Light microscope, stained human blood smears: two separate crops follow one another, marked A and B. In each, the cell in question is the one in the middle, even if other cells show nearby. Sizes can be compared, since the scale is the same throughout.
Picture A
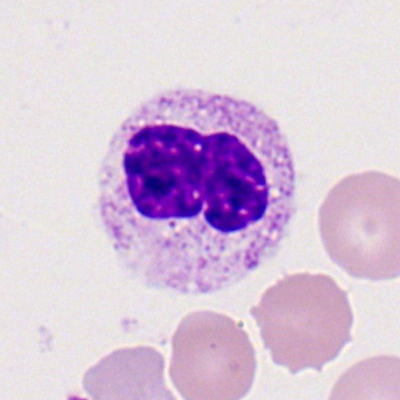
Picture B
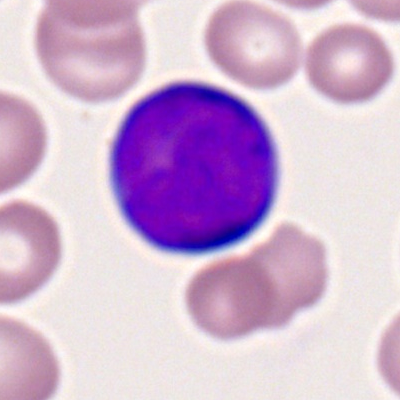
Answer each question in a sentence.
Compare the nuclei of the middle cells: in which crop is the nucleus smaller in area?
Smaller is the nucleus in picture A, and the other is about 2 times as large in area.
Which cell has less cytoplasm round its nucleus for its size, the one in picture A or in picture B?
The nucleus fills more of the cell in picture B than in picture A.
